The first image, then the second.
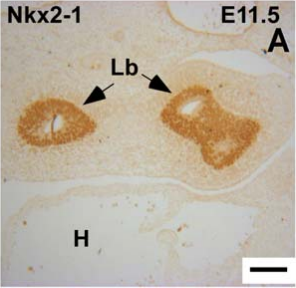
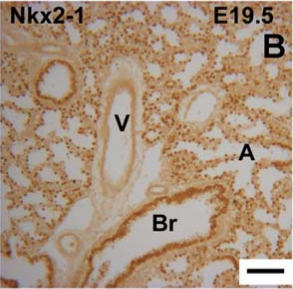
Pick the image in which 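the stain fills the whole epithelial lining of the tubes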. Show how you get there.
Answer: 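The first image. Second image: brown stain is confined to an airway lining and scattered single nuclei in thin alveolar walls. First image: brown stain evenly fills the thick lining of both small tubes.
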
